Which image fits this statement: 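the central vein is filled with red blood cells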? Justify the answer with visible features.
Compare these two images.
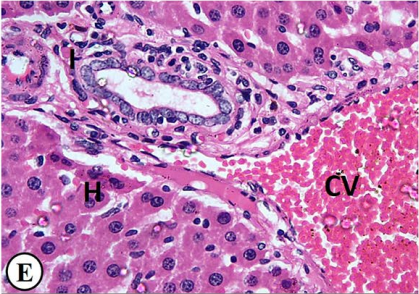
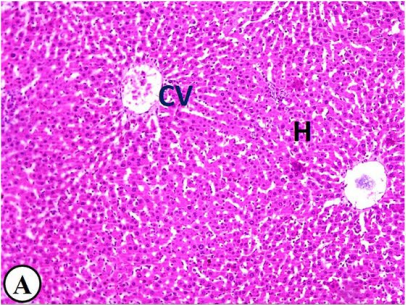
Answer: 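The first image. Second image: the central veins are round, mostly empty pale lumens. First image: a large vein lumen is packed with red blood cells.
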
